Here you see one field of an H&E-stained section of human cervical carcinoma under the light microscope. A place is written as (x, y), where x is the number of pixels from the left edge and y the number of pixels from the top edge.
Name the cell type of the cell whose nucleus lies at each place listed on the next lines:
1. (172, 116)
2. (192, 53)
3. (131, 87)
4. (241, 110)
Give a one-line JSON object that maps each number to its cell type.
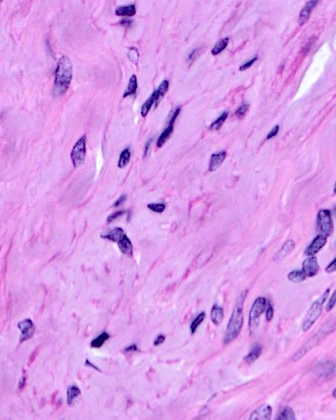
{"1": "fibroblast", "2": "fibroblast", "3": "fibroblast", "4": "smooth muscle cell"}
